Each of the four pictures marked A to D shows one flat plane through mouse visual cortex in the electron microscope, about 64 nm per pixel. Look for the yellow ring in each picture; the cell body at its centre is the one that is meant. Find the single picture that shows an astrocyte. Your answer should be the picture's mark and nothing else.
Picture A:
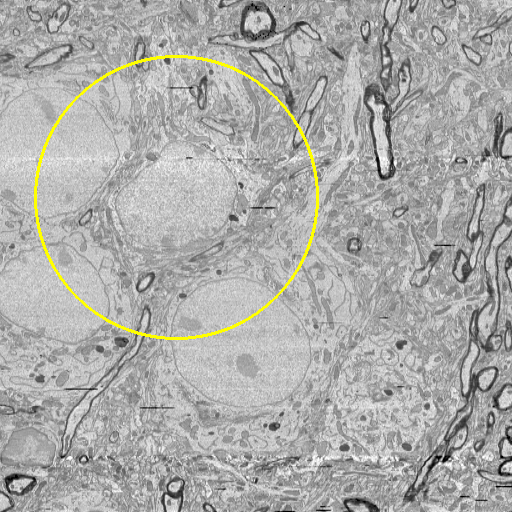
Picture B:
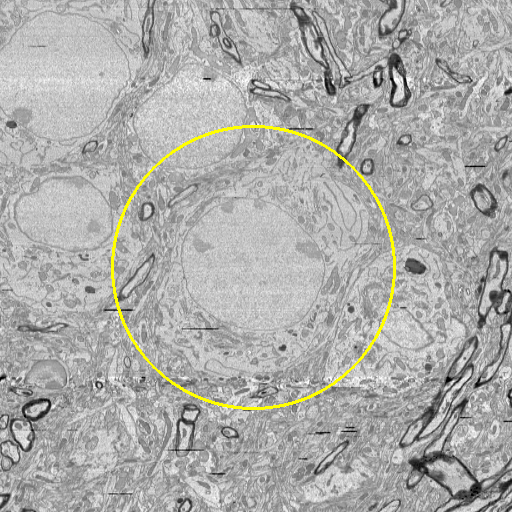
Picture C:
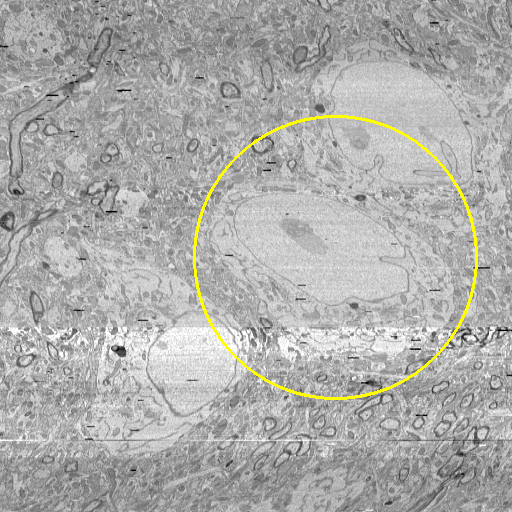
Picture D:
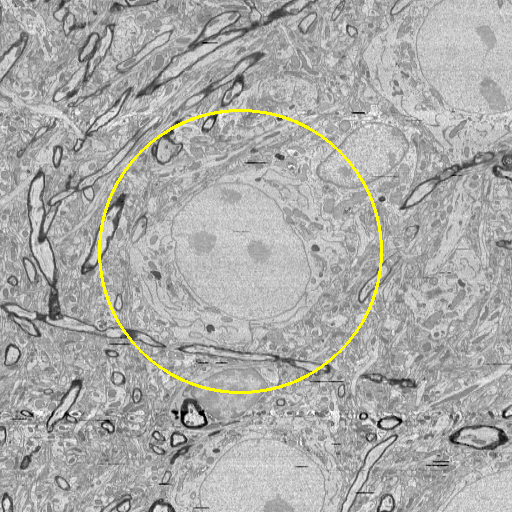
A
